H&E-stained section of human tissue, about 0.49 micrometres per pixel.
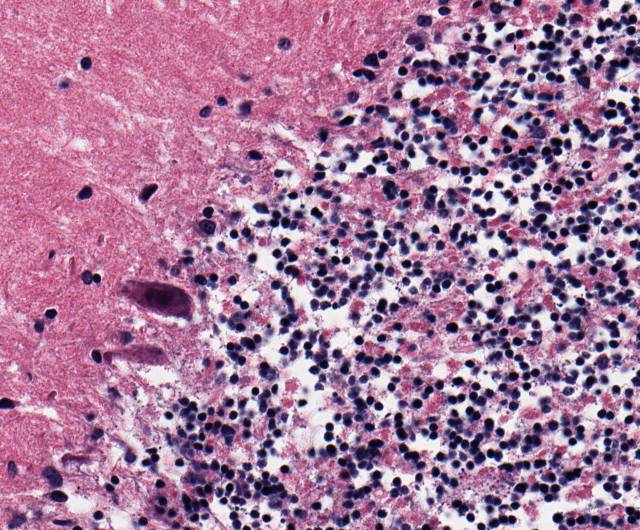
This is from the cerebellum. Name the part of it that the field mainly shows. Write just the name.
granular layer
